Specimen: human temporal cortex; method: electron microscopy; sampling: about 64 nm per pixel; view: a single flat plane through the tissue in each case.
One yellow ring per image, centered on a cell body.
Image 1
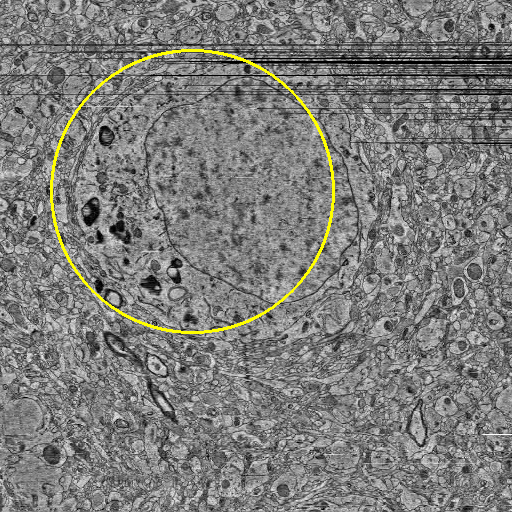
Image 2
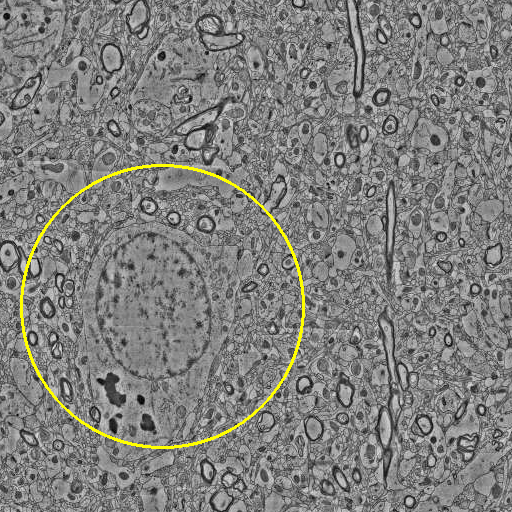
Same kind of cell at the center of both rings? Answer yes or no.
no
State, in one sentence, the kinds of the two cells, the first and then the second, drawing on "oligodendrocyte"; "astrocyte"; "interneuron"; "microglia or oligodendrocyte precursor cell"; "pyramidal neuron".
The ring in the second picture is centred on an interneuron, the ring in the first on a pyramidal neuron.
